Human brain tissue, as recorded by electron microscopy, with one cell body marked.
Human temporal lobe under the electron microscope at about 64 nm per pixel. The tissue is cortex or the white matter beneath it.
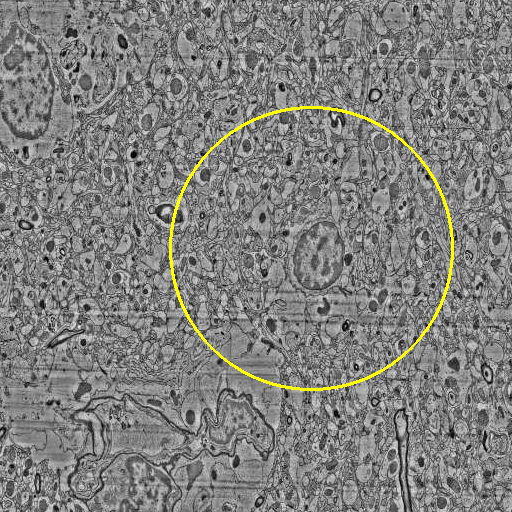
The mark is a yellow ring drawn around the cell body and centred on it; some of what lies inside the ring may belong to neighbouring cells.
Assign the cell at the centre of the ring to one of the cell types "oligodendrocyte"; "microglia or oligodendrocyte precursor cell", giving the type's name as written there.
microglia or oligodendrocyte precursor cell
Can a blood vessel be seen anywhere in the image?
Yes, there is a blood vessel.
